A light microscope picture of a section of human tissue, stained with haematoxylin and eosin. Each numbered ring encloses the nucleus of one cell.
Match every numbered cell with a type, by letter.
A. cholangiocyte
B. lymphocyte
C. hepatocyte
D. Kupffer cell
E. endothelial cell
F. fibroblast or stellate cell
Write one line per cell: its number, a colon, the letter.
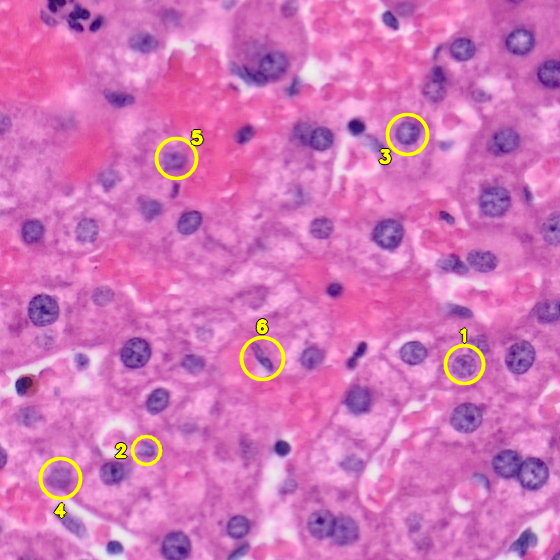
1: C
2: F
3: C
4: C
5: C
6: E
